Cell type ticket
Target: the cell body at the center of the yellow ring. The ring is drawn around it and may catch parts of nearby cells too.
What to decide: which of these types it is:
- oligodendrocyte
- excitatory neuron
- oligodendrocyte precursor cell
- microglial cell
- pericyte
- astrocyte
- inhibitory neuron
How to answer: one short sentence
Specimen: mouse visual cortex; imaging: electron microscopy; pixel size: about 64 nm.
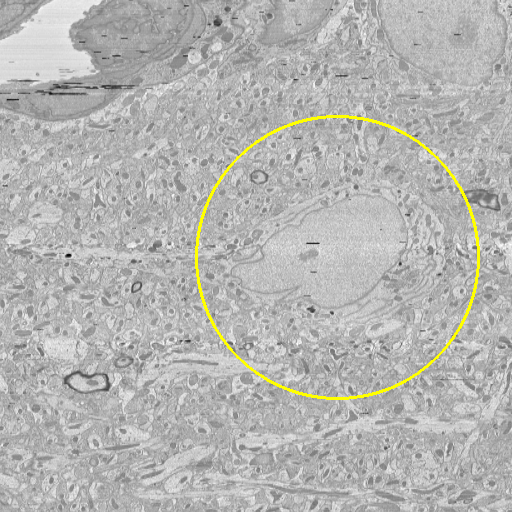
The cell at the center of the ring is an inhibitory neuron.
